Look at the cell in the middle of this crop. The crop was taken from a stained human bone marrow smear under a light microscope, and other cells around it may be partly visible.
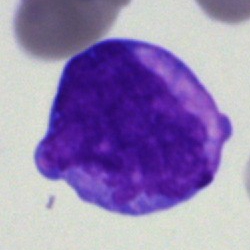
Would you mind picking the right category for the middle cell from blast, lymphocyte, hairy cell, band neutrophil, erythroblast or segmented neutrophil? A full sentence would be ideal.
The cell centered in this field of view is a blast.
